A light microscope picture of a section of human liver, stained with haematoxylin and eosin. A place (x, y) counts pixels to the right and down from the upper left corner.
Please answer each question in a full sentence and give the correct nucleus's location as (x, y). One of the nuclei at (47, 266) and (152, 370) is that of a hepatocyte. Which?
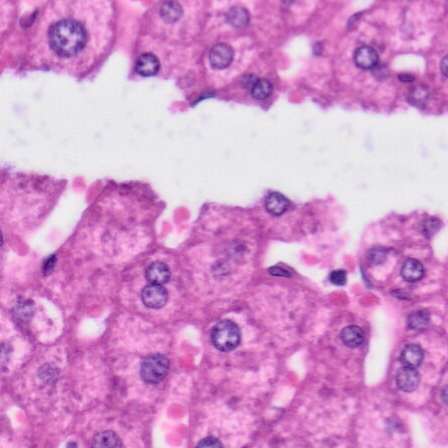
Of the pair, the nucleus positioned at (152, 370) is that of a hepatocyte.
